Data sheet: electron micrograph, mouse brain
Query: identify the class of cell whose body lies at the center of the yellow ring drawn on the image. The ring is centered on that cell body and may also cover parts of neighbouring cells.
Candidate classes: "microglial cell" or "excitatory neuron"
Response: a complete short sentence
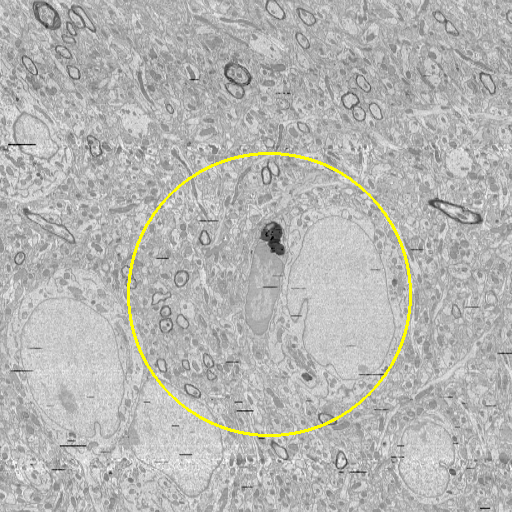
At the center of the ring lies a microglial cell.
